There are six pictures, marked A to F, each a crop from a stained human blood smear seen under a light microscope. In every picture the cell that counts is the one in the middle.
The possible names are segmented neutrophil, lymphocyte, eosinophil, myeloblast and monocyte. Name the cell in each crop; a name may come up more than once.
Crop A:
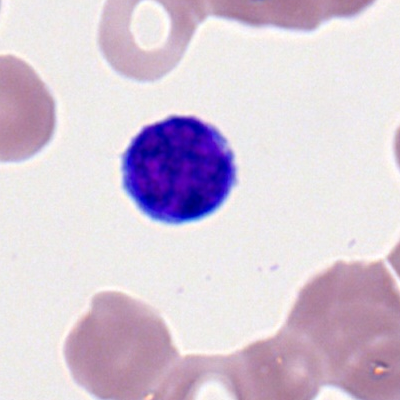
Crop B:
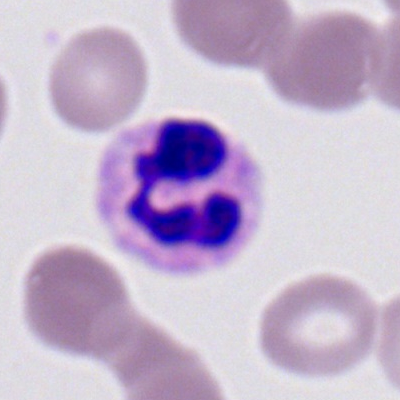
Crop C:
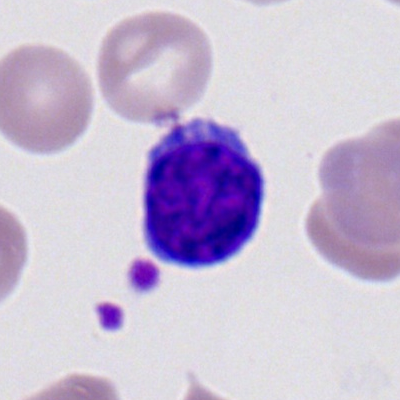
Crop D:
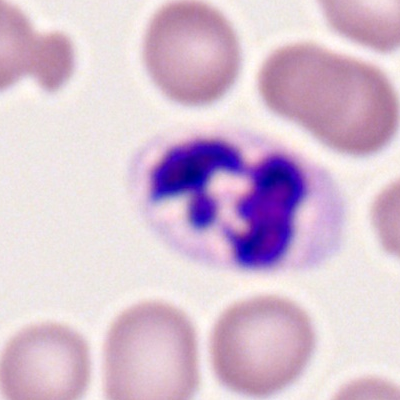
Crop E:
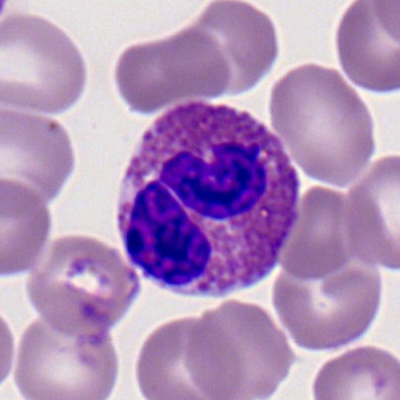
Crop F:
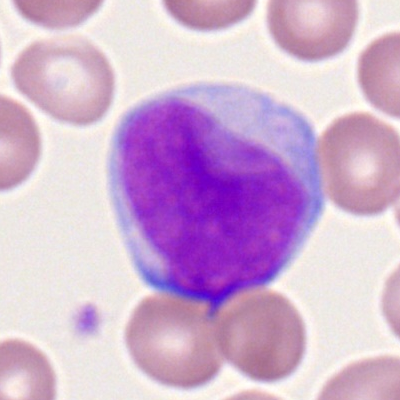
A: lymphocyte
B: segmented neutrophil
C: lymphocyte
D: segmented neutrophil
E: eosinophil
F: myeloblast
